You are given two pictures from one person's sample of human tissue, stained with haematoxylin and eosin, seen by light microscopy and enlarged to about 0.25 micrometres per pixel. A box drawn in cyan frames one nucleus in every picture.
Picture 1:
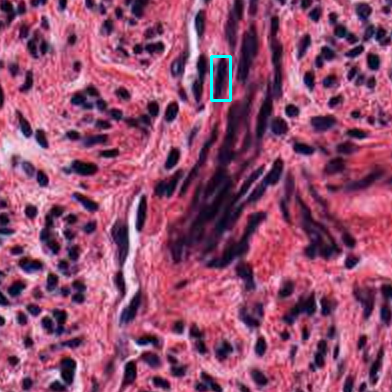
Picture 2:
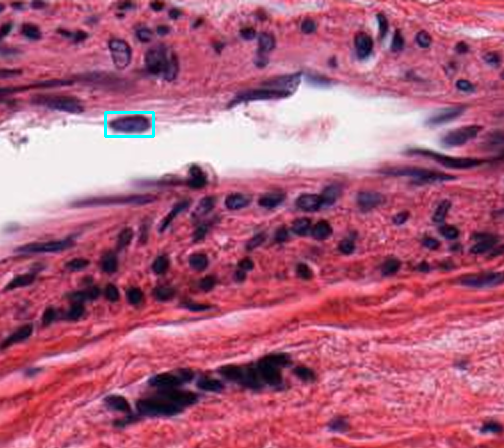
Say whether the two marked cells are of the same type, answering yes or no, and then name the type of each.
No, the first is a smooth muscle cell and the second an endothelial cell.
